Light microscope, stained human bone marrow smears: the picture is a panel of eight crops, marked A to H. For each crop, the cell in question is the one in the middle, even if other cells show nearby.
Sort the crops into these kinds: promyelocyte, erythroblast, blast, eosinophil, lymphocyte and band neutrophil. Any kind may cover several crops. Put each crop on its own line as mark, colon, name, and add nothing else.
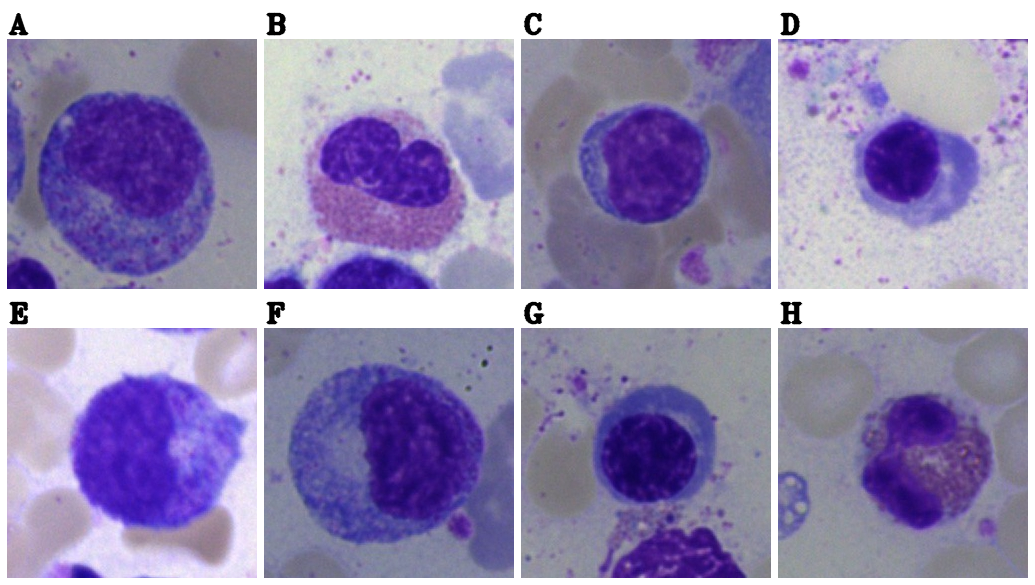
A: promyelocyte
B: eosinophil
C: lymphocyte
D: erythroblast
E: promyelocyte
F: promyelocyte
G: erythroblast
H: eosinophil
